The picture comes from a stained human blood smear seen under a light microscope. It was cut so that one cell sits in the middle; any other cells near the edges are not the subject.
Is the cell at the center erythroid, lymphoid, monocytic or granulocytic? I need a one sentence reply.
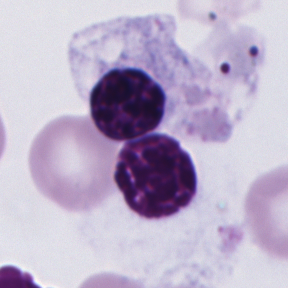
Of the possible lineages, the central cell belongs to the erythroid lineage.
